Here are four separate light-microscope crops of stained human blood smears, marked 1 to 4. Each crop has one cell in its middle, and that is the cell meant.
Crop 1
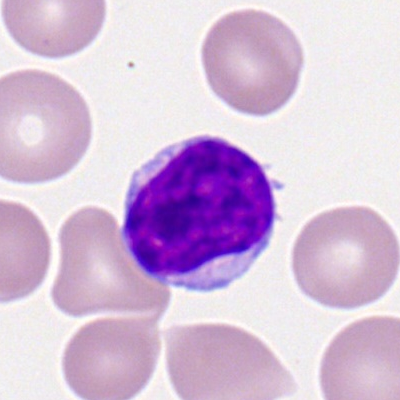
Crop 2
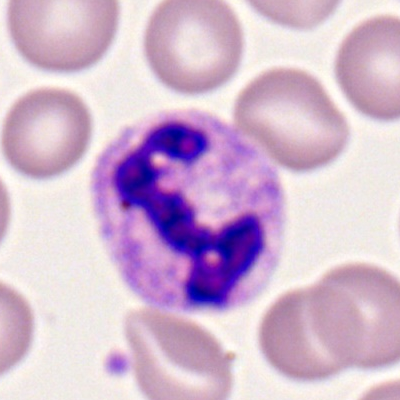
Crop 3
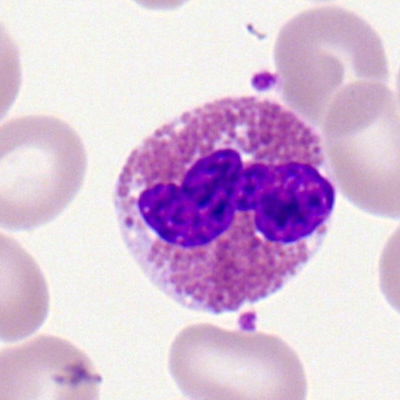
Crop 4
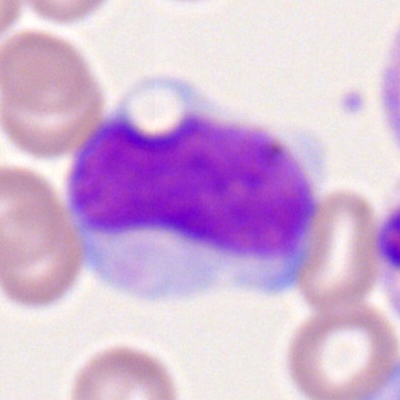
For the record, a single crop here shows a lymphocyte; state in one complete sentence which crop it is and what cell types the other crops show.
Crop 1 exhibits a lymphocyte, while crop 2 is a segmented neutrophil, crop 3 is an eosinophil and crop 4 is a monocyte.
